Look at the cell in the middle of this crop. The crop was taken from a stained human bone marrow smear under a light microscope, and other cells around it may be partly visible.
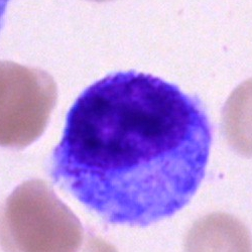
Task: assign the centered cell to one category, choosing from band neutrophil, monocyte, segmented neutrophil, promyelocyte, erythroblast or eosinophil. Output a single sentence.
To answer, the cell in the center of the crop is a promyelocyte.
